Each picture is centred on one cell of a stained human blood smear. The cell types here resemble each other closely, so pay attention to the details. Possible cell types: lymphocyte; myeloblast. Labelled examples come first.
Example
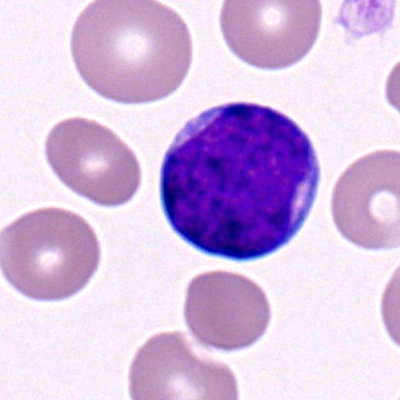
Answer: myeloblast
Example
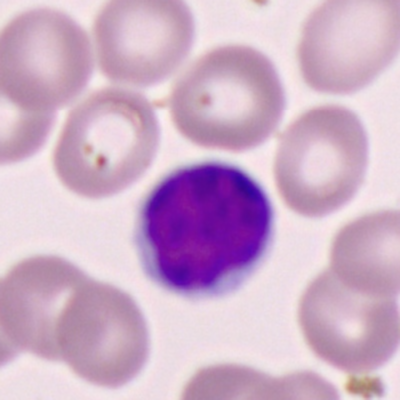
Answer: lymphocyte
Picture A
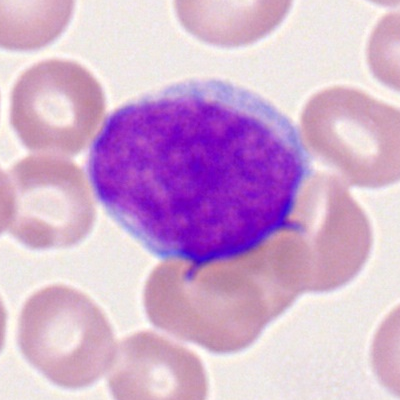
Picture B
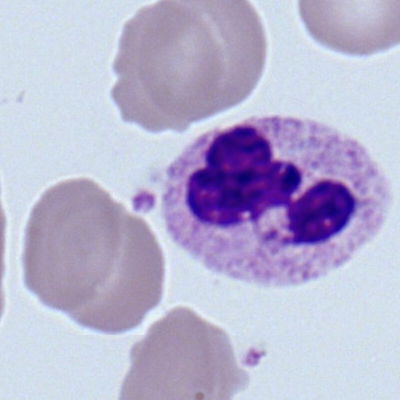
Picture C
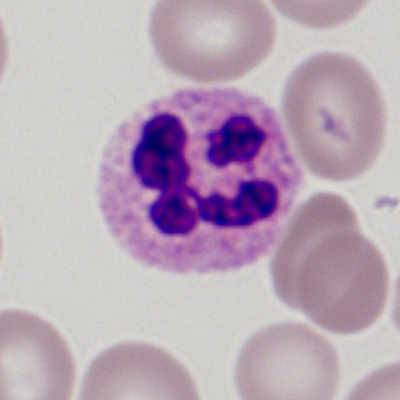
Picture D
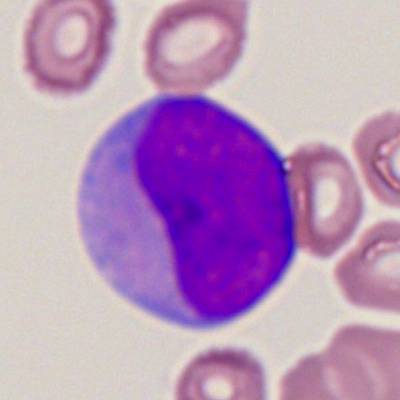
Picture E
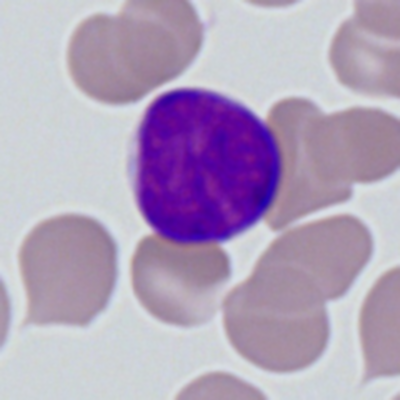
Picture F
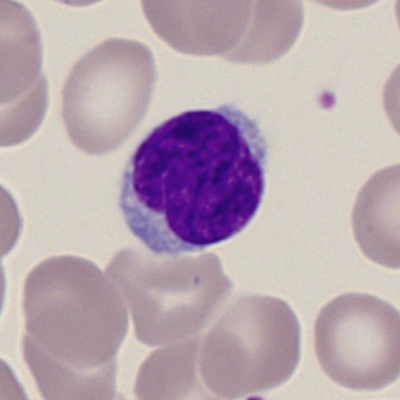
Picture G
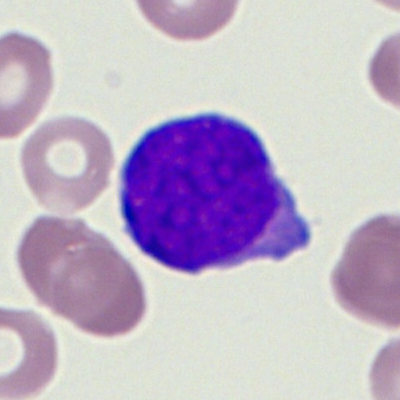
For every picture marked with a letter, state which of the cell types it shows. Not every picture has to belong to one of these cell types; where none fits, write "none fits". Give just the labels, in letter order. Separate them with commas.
myeloblast, none fits, none fits, myeloblast, myeloblast, lymphocyte, myeloblast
